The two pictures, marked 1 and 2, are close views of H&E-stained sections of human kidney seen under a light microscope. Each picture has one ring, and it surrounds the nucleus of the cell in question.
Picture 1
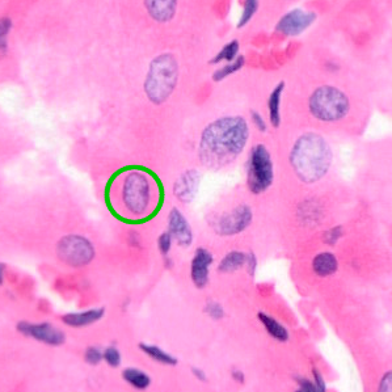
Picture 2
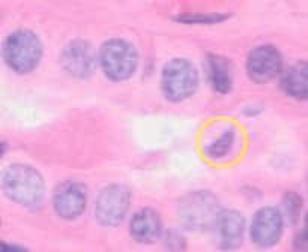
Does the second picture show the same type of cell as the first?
no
